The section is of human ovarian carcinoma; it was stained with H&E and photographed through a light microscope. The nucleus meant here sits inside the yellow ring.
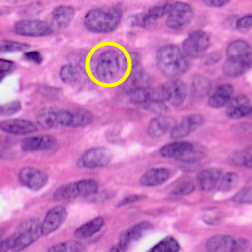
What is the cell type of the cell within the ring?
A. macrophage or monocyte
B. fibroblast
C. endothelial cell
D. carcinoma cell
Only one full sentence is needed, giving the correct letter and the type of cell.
Option D, which has the cell within the ring as a carcinoma cell, is the correct choice.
